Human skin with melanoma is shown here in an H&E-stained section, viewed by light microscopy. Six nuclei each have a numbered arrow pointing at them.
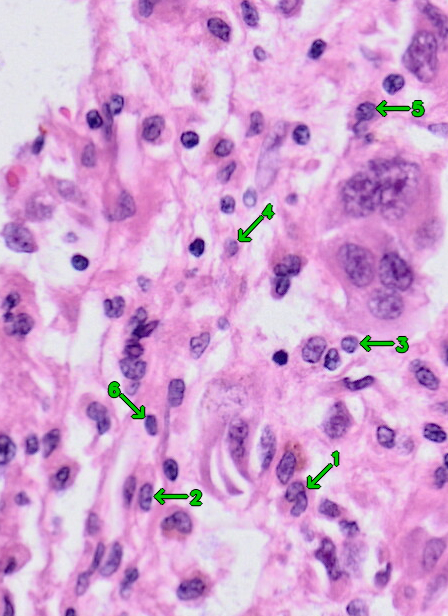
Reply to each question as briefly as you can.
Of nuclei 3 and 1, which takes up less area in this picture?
3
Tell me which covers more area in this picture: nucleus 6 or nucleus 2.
2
